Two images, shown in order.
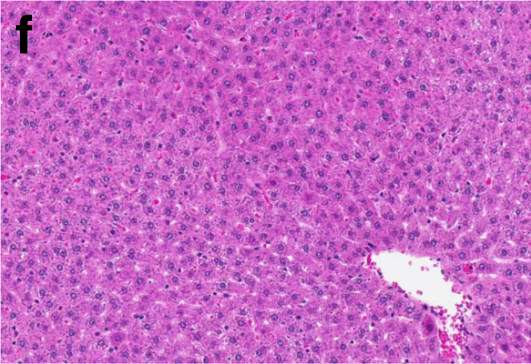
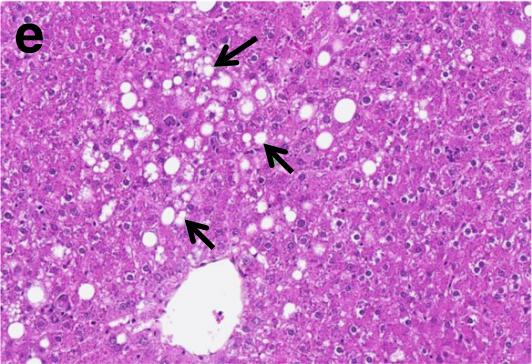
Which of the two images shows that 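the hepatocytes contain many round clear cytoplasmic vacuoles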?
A: The second image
